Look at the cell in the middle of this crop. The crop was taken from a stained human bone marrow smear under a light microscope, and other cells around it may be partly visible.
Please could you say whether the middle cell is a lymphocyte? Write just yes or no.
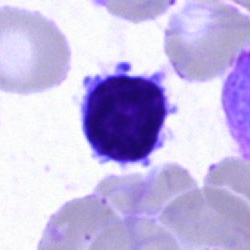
yes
